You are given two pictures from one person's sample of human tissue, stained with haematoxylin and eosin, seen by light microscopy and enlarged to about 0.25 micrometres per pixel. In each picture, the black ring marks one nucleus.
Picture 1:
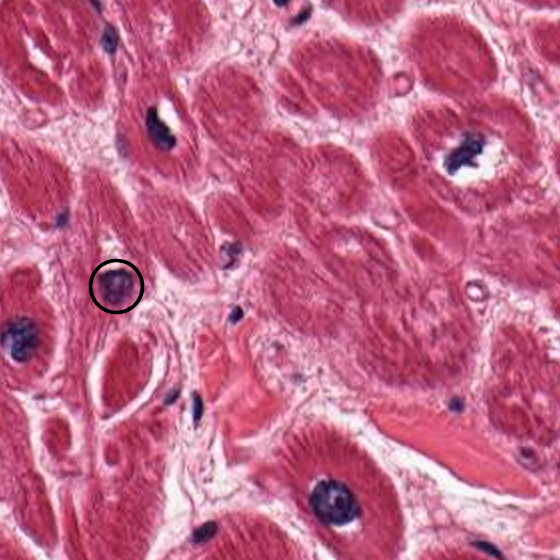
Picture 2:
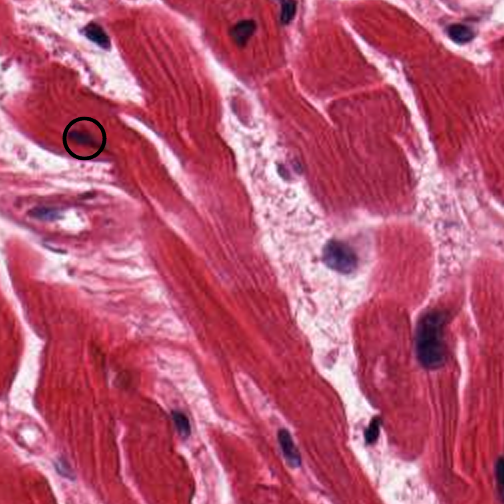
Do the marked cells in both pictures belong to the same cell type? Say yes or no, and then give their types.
Yes, both are cardiomyocytes.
